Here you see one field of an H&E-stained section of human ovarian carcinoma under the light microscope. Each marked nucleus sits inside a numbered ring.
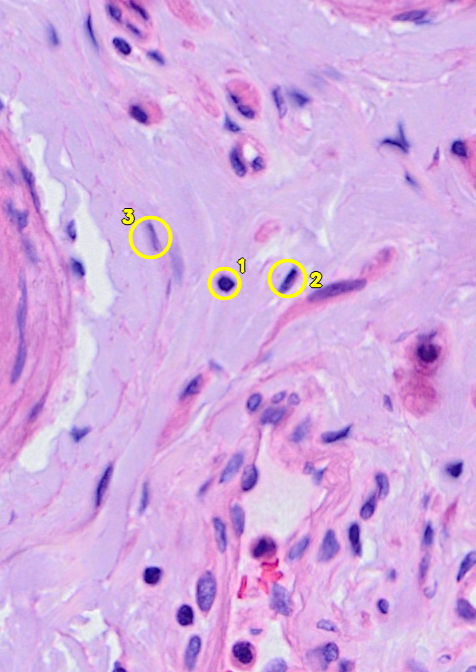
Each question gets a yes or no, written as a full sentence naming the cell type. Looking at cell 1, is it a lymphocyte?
Yes, that is so; number 1 marks a lymphocyte.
